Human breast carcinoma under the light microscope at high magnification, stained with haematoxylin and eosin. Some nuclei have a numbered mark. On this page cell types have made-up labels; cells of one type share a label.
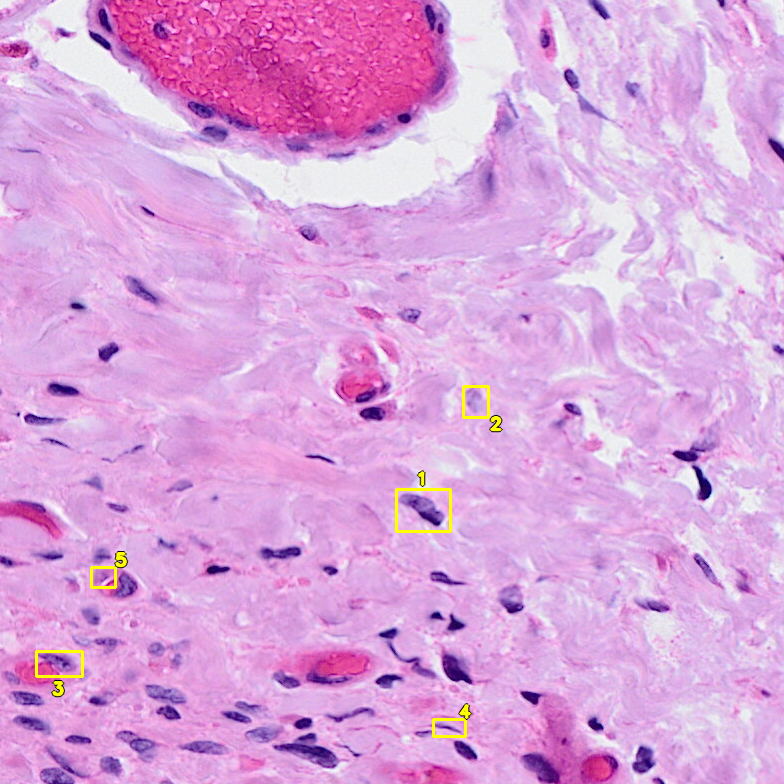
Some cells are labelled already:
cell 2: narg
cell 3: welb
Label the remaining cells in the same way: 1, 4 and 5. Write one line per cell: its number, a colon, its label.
1: narg
4: narg
5: welb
